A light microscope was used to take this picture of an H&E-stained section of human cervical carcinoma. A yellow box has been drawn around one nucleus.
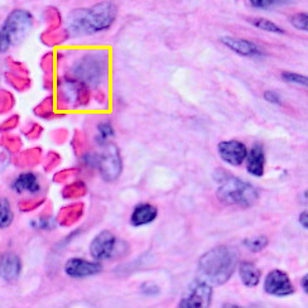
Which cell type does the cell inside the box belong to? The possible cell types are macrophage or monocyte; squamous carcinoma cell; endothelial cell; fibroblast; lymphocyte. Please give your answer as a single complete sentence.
It is as an endothelial cell that the cell inside the box is classified.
